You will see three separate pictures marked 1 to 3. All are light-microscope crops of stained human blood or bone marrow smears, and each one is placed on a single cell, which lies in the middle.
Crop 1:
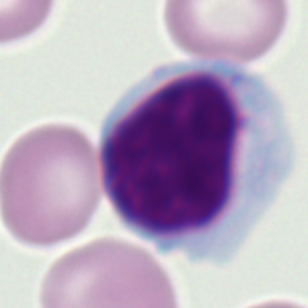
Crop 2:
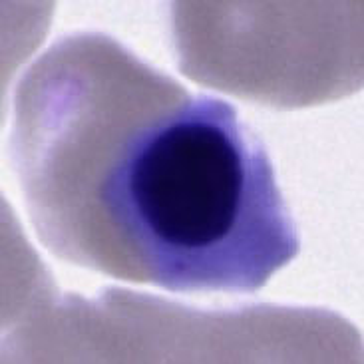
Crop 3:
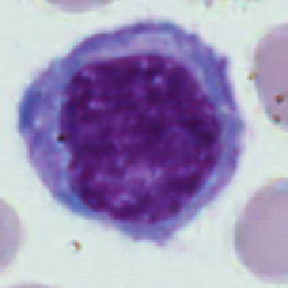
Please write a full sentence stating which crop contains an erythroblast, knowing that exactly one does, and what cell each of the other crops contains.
Of the crops, crop 2 shows an erythroblast, while crop 1 is a lymphocyte and crop 3 is a plasma cell.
